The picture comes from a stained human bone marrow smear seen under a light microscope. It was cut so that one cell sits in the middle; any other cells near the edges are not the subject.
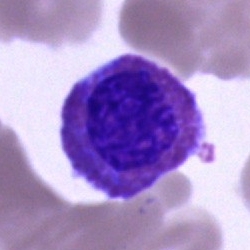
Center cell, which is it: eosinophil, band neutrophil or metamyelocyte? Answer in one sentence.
The cell at the middle of the frame should be recorded as an eosinophil.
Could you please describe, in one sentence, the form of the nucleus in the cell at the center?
The cell carries one compact nucleus shaped round, oval or like a kidney.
